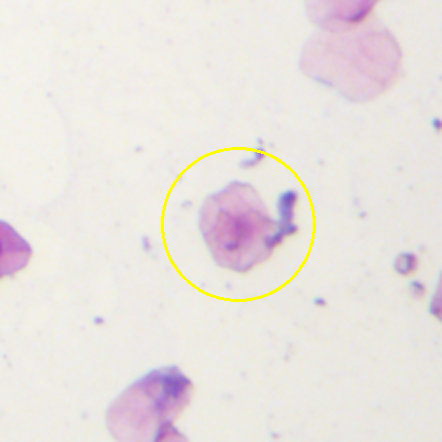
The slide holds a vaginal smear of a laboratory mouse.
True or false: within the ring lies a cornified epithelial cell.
True: a cornified epithelial cell lies within the ring.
